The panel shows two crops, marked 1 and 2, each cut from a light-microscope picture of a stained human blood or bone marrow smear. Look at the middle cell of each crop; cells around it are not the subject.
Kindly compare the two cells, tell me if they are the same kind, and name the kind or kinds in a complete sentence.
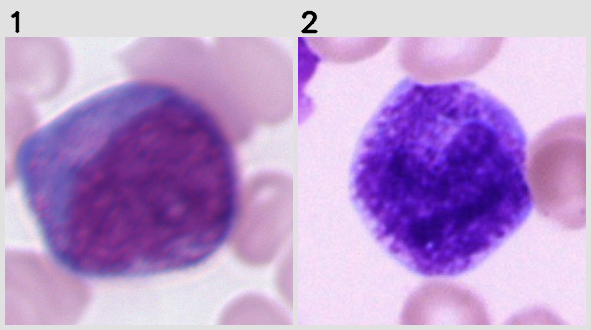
Yes, in the two crops, promyelocytes are the cells at the centre.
